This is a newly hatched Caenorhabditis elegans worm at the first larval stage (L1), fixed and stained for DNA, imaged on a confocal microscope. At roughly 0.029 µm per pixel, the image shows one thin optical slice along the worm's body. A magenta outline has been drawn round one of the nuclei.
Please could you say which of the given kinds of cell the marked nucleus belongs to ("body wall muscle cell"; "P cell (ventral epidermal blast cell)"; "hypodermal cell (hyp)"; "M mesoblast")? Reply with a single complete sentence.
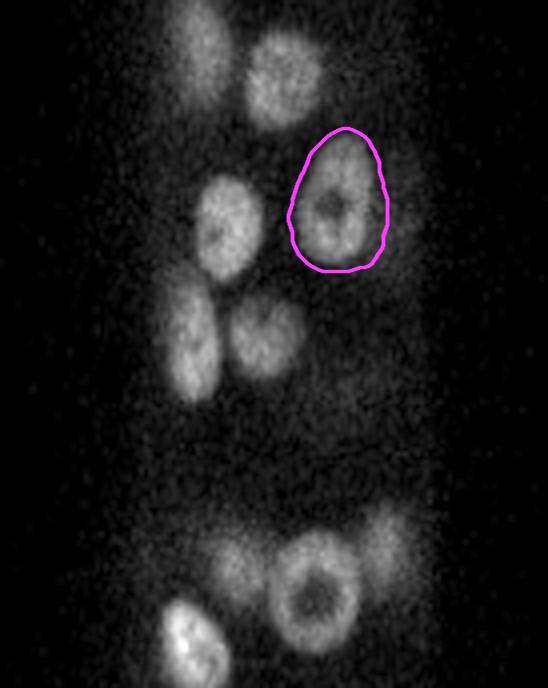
The nucleus comes from a hypodermal cell (hyp).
